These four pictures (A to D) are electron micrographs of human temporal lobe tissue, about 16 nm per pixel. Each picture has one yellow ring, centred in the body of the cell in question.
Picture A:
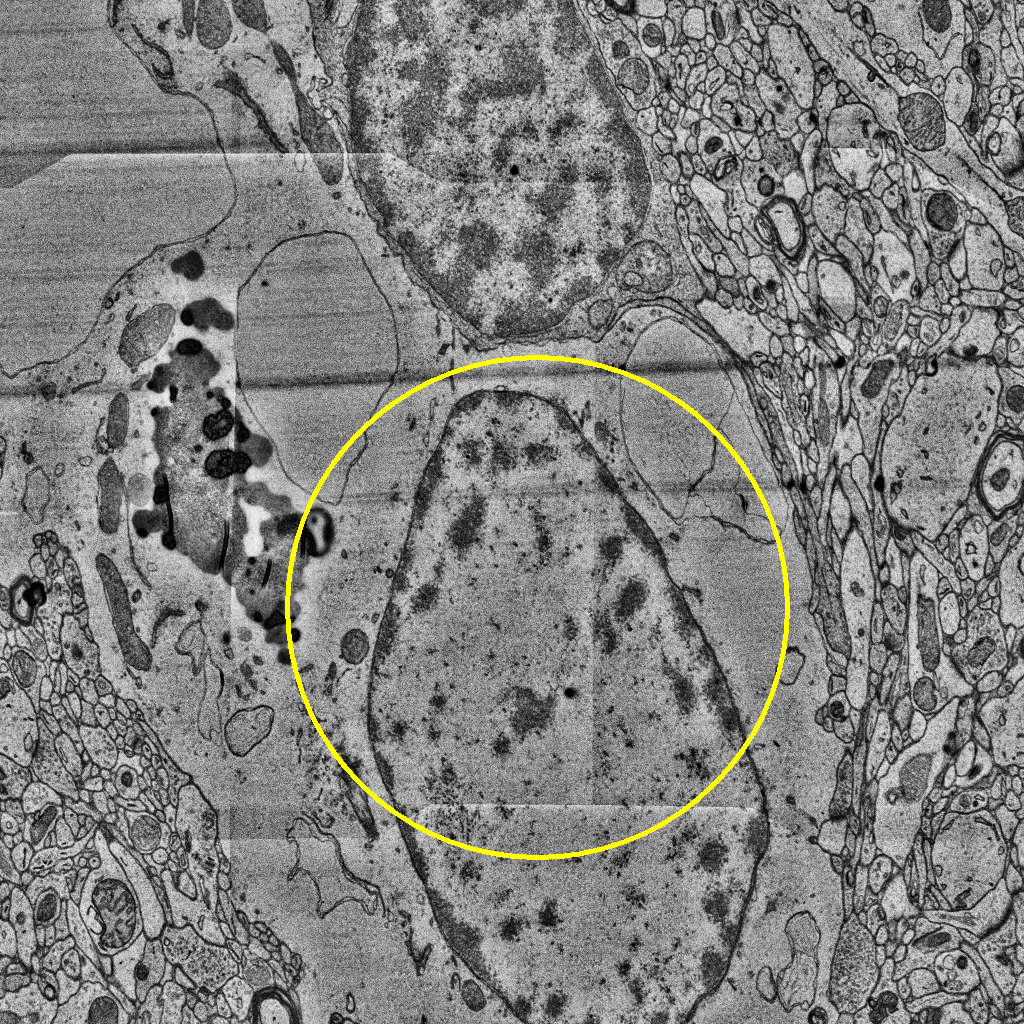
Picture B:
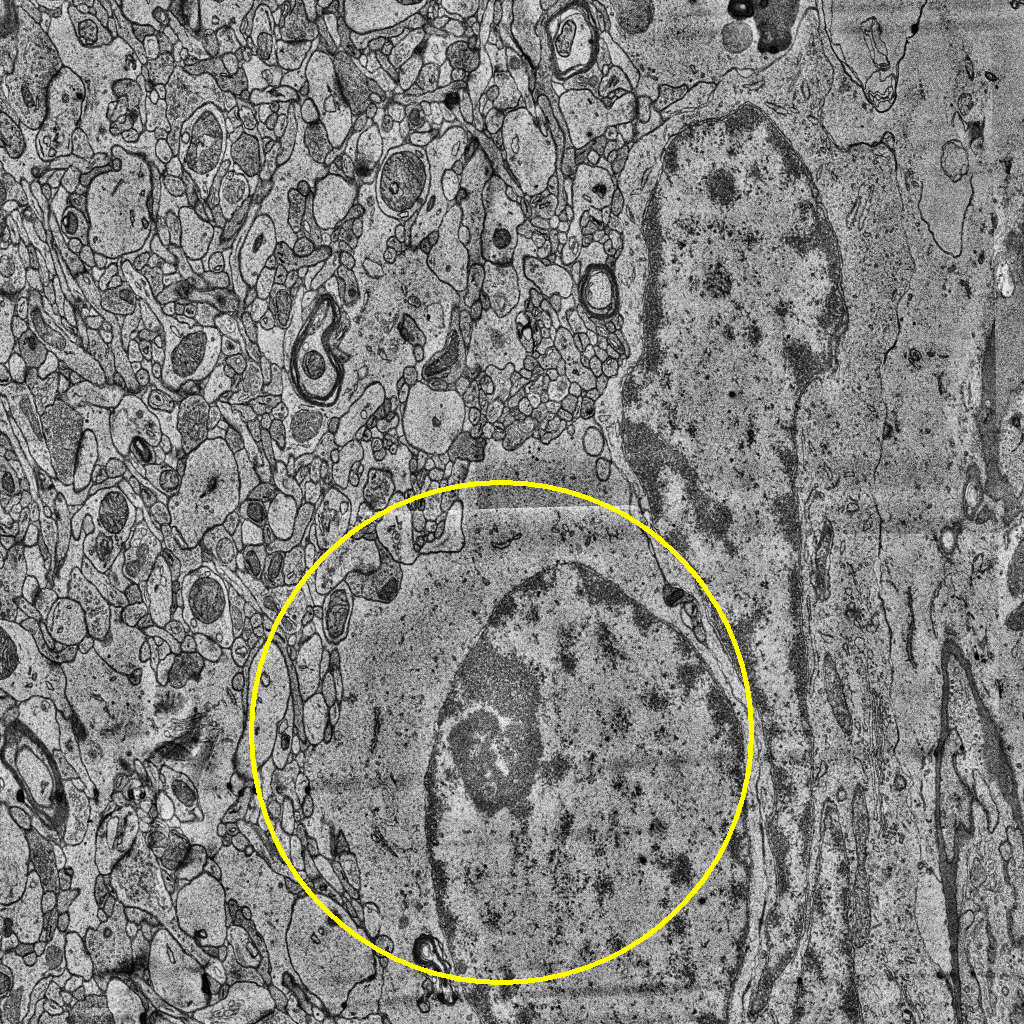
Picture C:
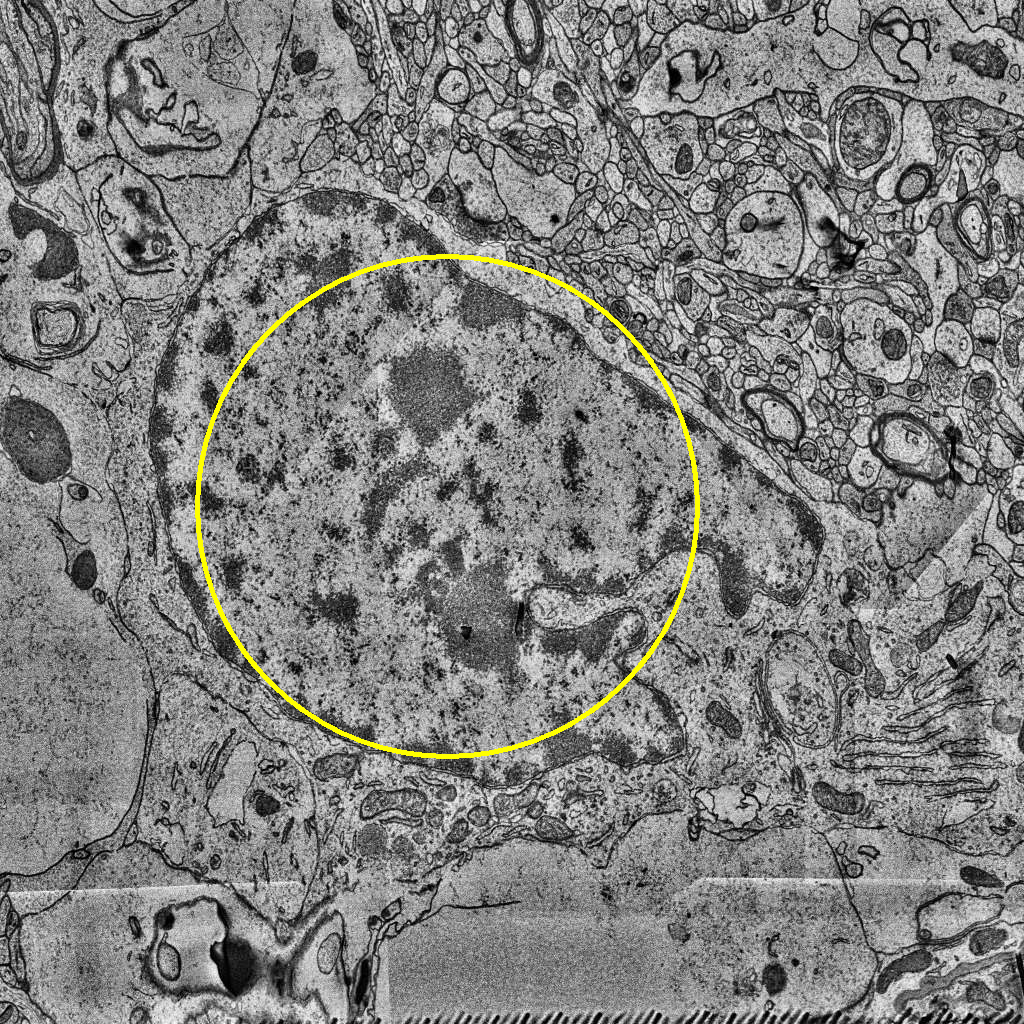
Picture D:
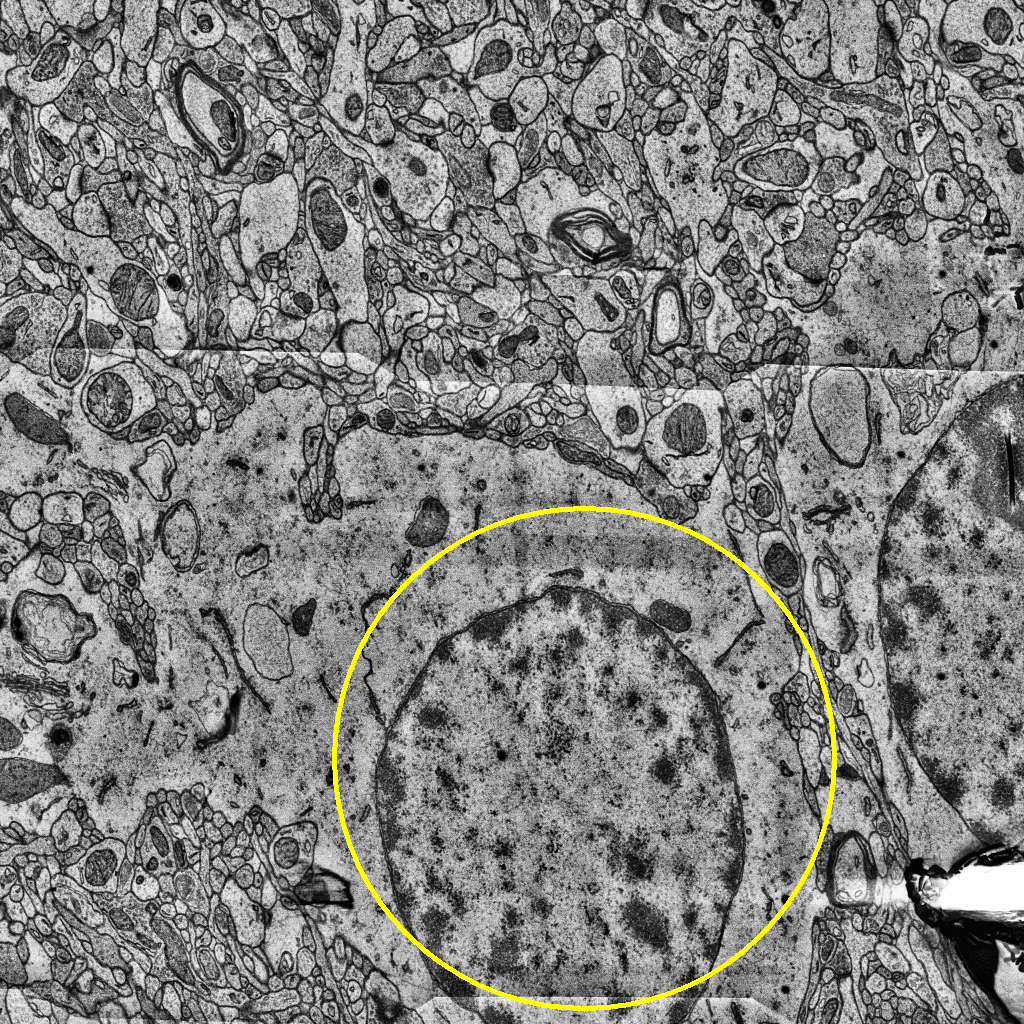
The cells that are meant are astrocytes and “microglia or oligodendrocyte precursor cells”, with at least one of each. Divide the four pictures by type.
Pictures A, B and D show astrocytes; picture C shows a “microglia or oligodendrocyte precursor cell”.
